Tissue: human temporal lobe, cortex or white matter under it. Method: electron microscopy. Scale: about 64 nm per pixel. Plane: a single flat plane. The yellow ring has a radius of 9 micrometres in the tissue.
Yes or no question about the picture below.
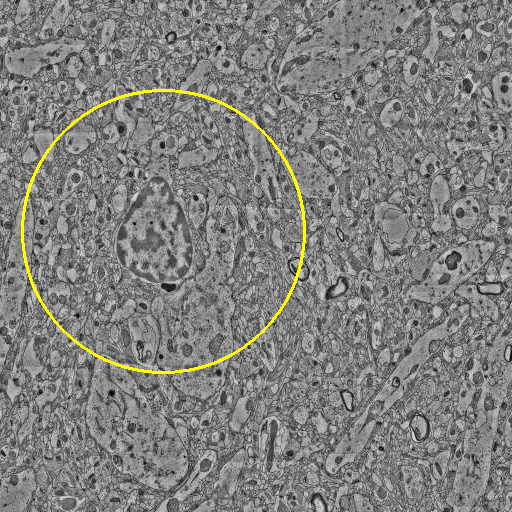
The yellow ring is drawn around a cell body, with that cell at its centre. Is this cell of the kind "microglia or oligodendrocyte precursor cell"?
yes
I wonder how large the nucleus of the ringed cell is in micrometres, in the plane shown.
The ringed cell's nucleus is about 6 micrometres long and 5 micrometres wide in this plane.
